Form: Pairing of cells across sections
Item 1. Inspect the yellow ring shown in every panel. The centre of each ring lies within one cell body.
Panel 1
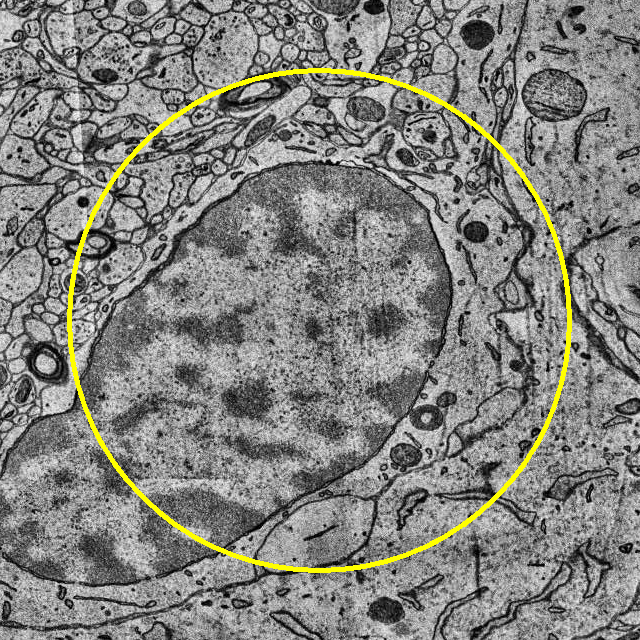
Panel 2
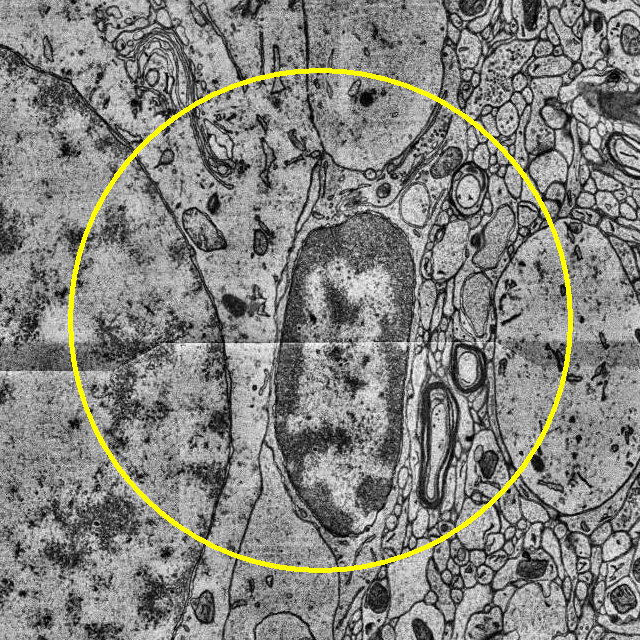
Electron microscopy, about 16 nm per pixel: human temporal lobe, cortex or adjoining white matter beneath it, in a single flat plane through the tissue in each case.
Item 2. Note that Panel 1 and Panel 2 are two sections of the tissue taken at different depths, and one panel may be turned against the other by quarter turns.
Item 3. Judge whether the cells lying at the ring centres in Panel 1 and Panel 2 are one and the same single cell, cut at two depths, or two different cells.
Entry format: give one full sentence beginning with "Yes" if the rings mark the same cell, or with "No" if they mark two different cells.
No, the pair of rings marks a pair of different cells.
